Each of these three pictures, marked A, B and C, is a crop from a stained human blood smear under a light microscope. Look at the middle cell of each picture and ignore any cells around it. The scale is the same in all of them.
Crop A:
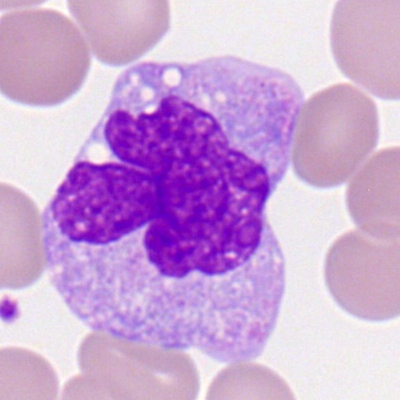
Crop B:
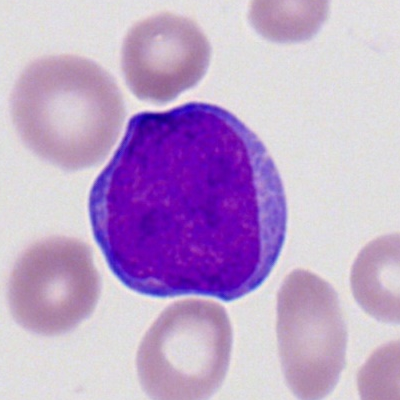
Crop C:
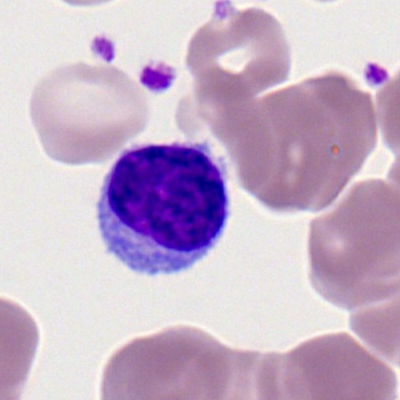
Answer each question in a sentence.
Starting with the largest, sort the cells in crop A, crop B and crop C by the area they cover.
Largest first: A, B, C.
